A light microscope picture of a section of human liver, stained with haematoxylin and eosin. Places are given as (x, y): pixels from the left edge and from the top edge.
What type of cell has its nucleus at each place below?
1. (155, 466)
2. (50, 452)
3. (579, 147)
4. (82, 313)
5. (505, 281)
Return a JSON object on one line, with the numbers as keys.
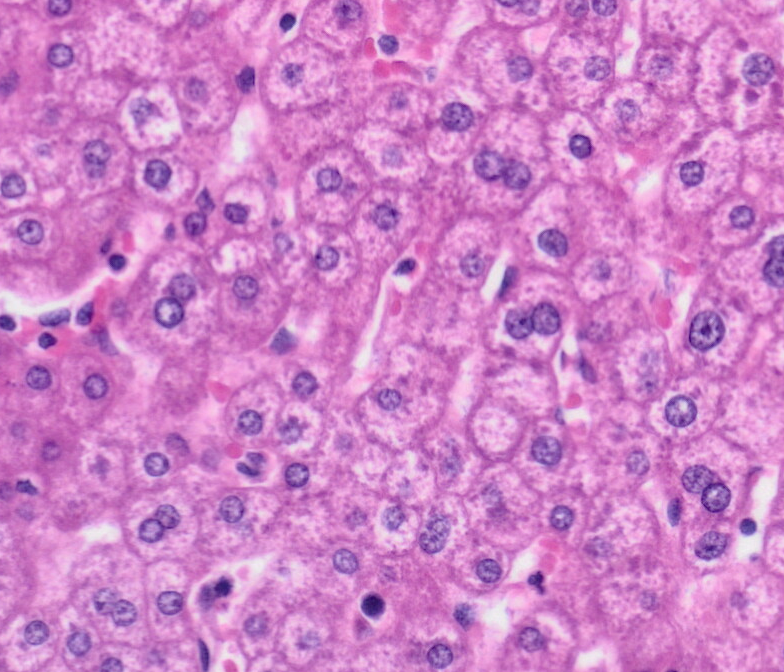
{"1": "hepatocyte", "2": "hepatocyte", "3": "hepatocyte", "4": "lymphocyte", "5": "Kupffer cell"}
